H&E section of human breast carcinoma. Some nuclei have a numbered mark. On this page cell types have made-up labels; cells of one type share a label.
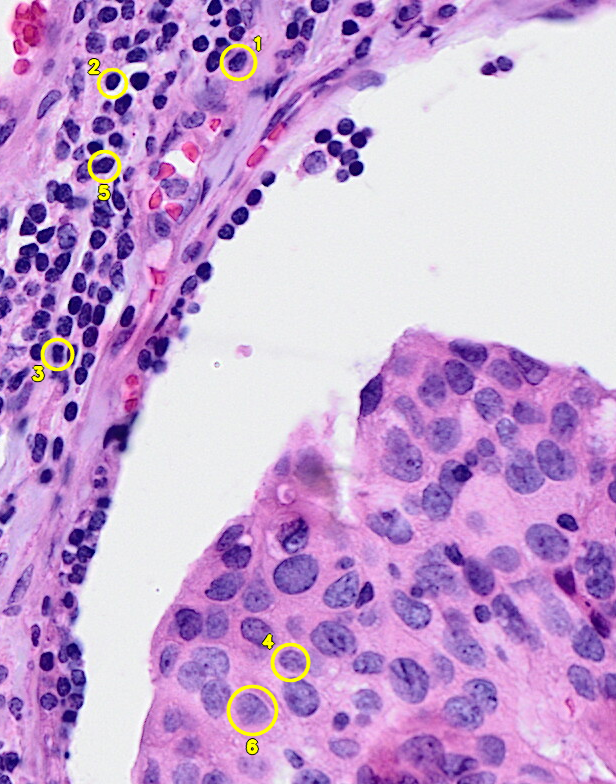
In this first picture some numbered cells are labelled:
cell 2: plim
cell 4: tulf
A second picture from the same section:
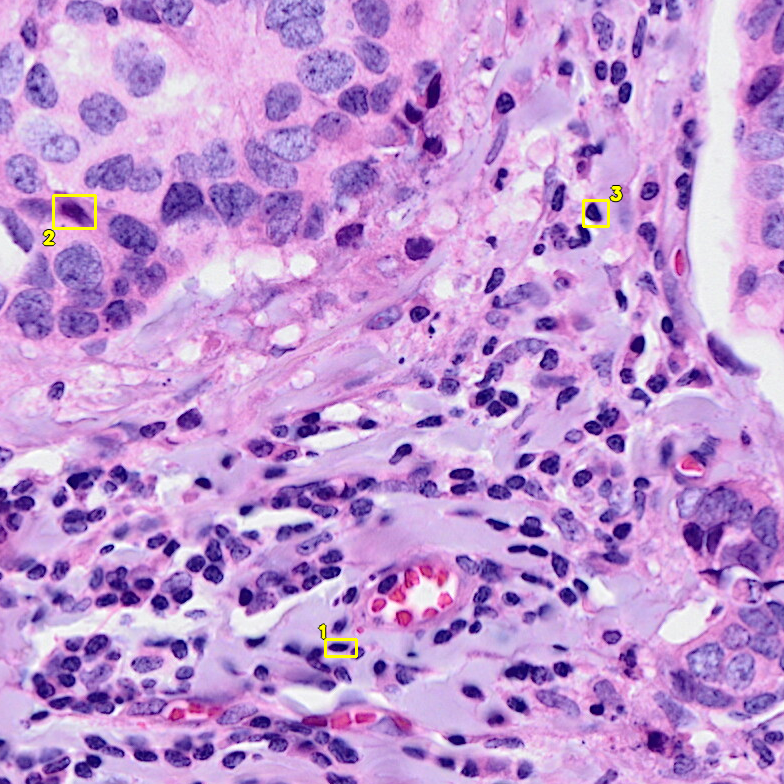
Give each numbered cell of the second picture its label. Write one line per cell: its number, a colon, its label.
1: plim
2: tulf
3: plim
